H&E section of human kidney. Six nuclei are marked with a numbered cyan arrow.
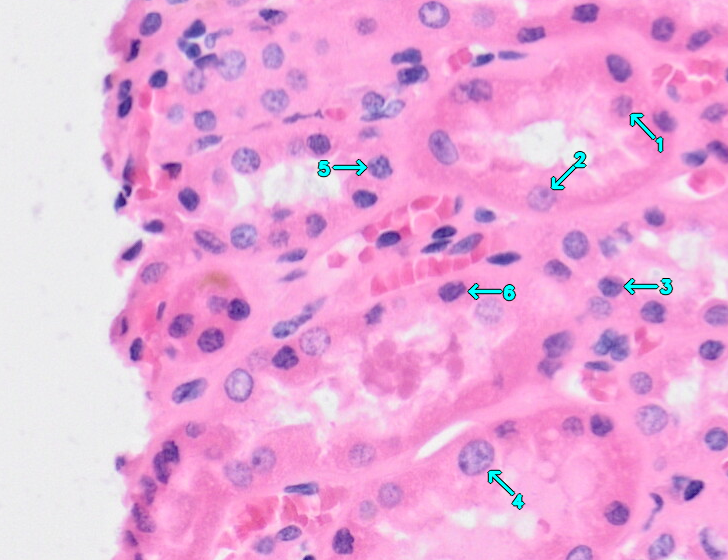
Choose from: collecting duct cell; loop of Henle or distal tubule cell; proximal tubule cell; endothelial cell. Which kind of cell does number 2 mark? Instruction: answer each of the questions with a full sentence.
The cell identified by number 2 is a proximal tubule cell.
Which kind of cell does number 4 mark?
The cell assigned the number 4 is a proximal tubule cell.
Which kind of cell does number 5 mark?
The expected answer is that cell 5 is a loop of Henle or distal tubule cell.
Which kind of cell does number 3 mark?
Identified by the number 3, the cell is a loop of Henle or distal tubule cell.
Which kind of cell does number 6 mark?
Recognised here as a proximal tubule cell is the cell numbered 6.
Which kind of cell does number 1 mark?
The cell that bears the number 1 is a proximal tubule cell.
